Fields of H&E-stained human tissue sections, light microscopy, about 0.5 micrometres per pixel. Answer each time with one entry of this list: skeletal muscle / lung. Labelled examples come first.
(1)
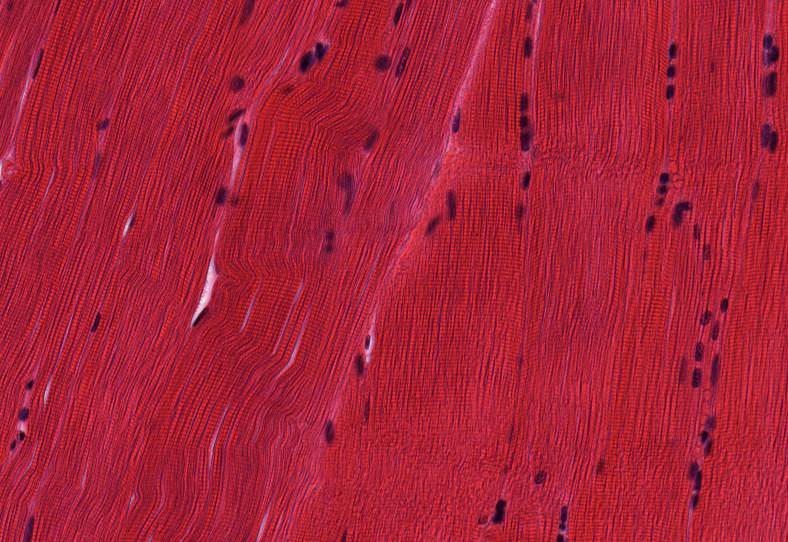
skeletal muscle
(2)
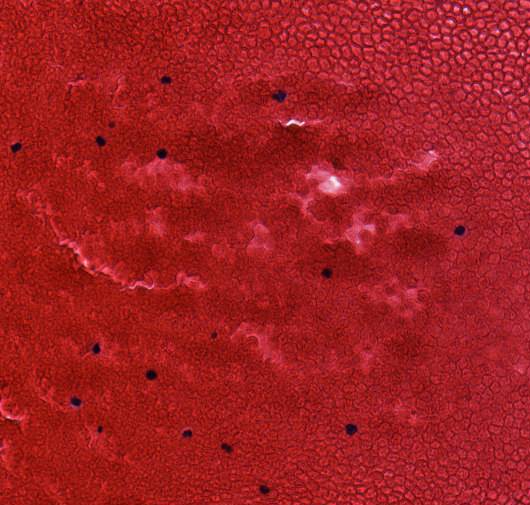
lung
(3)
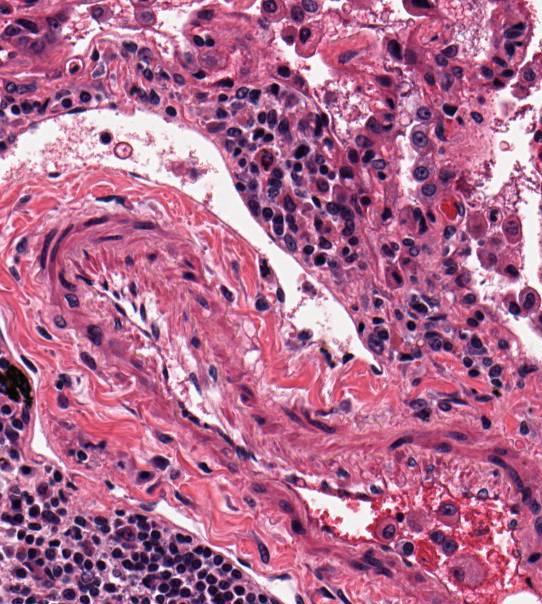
lung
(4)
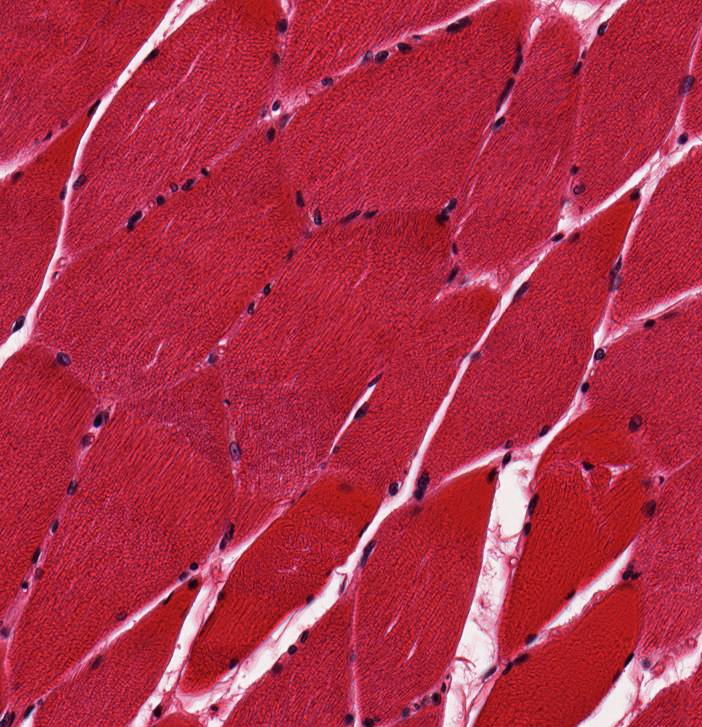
skeletal muscle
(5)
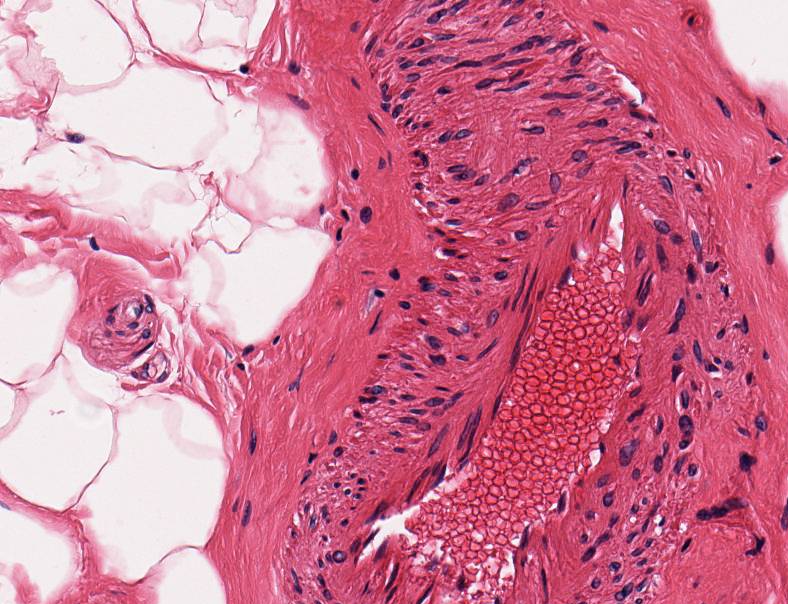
skeletal muscle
